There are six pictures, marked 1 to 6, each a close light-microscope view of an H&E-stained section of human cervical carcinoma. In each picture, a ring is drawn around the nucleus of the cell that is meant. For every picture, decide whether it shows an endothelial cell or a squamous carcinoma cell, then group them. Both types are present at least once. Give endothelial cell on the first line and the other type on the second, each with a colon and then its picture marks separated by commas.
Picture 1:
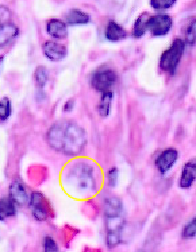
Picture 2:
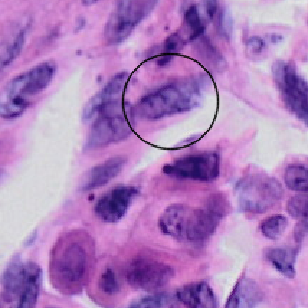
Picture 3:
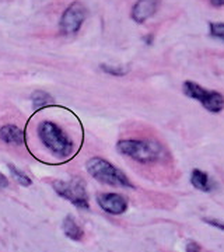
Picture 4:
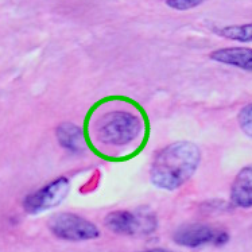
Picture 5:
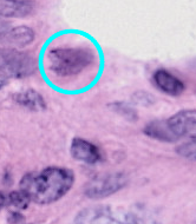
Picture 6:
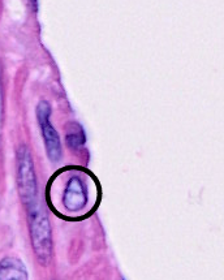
endothelial cell: 1, 3, 4, 6
squamous carcinoma cell: 2, 5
